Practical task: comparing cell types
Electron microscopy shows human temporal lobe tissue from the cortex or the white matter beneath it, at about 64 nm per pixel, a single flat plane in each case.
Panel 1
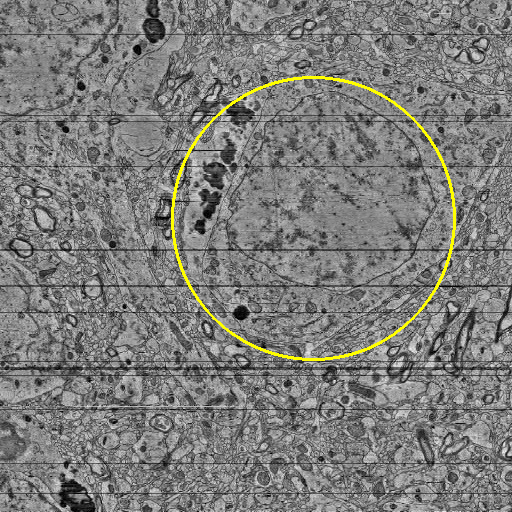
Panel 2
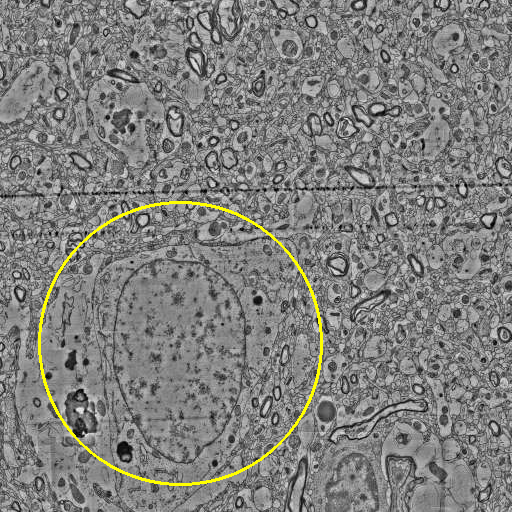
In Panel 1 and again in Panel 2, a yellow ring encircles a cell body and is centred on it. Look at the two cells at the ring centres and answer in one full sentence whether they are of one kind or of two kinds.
The two cells sitting at the ring centres of Panels 1 and 2 are of one kind.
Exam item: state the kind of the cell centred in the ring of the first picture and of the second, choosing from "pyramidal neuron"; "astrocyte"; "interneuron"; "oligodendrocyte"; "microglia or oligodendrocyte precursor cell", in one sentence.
Each of the two pictures has a pyramidal neuron at the ring centre.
